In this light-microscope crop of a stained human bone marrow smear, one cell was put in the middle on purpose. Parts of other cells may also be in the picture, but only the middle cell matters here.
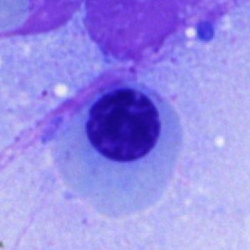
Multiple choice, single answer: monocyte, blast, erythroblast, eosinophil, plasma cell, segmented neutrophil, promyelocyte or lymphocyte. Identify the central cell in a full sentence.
The middle cell in this particular crop is an erythroblast.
